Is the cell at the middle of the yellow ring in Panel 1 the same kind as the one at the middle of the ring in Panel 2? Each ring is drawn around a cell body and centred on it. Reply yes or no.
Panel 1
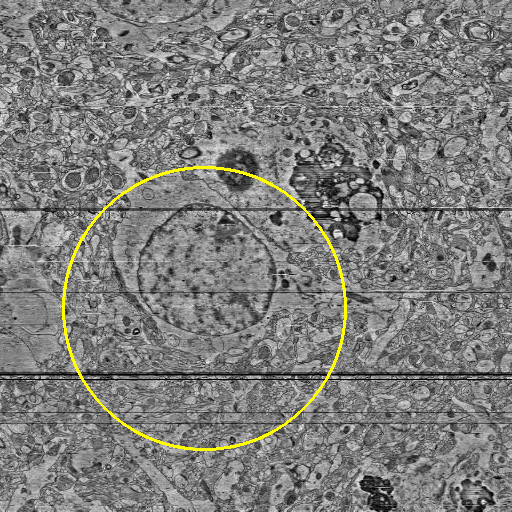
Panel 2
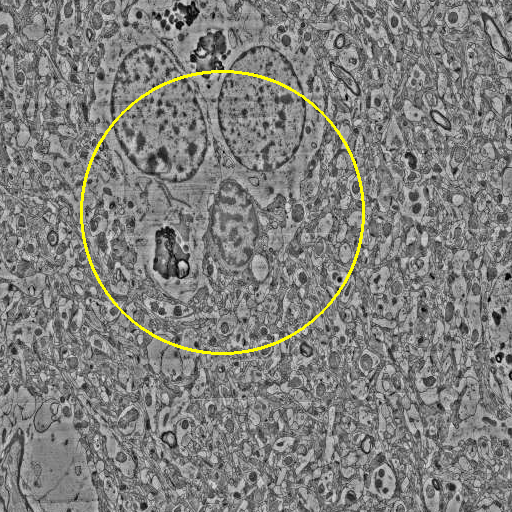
no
